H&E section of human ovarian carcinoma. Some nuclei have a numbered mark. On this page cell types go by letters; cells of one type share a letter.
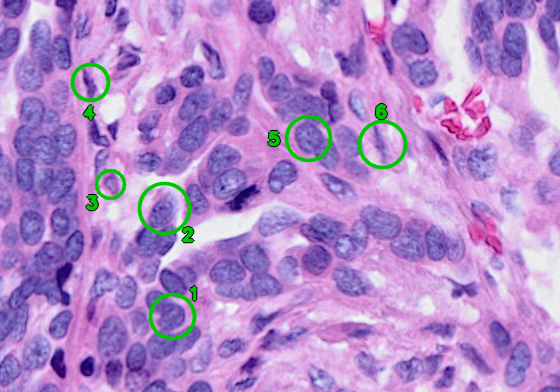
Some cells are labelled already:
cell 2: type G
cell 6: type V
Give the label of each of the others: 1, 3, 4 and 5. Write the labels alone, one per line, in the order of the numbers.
type G
type V
type V
type G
